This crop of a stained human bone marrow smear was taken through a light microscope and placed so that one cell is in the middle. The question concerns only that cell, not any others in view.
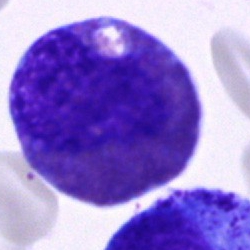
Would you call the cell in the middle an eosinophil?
yes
